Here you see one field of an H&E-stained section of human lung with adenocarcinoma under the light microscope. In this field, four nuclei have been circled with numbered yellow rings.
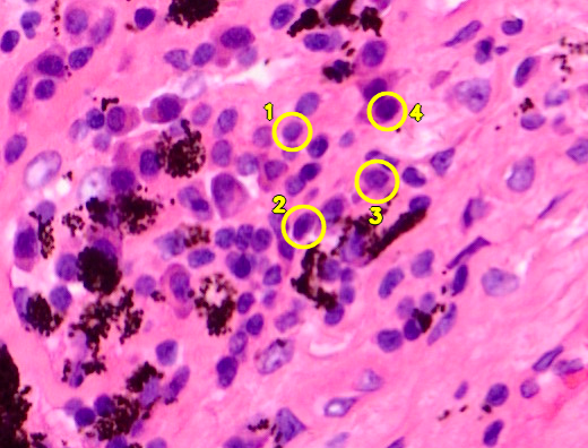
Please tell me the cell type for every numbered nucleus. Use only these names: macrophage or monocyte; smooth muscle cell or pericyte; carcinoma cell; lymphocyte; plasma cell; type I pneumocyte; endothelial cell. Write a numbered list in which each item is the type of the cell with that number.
1. lymphocyte
2. lymphocyte
3. plasma cell
4. plasma cell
